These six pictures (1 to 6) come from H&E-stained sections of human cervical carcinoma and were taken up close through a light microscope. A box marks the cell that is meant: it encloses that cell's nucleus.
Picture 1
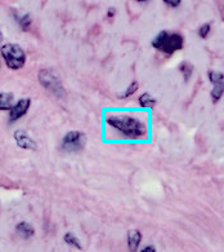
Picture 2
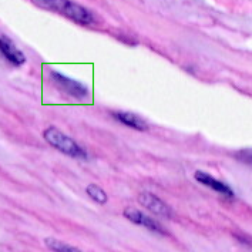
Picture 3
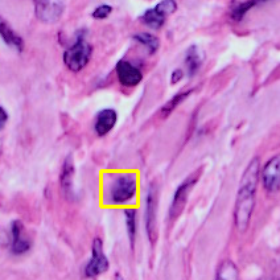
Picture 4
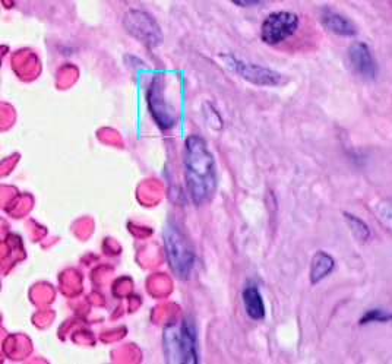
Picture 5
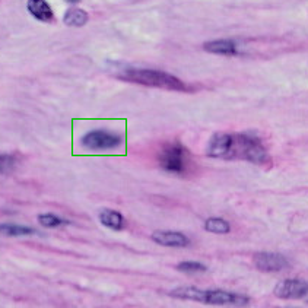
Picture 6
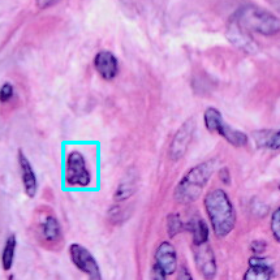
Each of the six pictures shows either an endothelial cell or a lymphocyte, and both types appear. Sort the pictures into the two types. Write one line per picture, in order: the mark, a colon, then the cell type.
1: lymphocyte
2: endothelial cell
3: lymphocyte
4: endothelial cell
5: lymphocyte
6: lymphocyte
